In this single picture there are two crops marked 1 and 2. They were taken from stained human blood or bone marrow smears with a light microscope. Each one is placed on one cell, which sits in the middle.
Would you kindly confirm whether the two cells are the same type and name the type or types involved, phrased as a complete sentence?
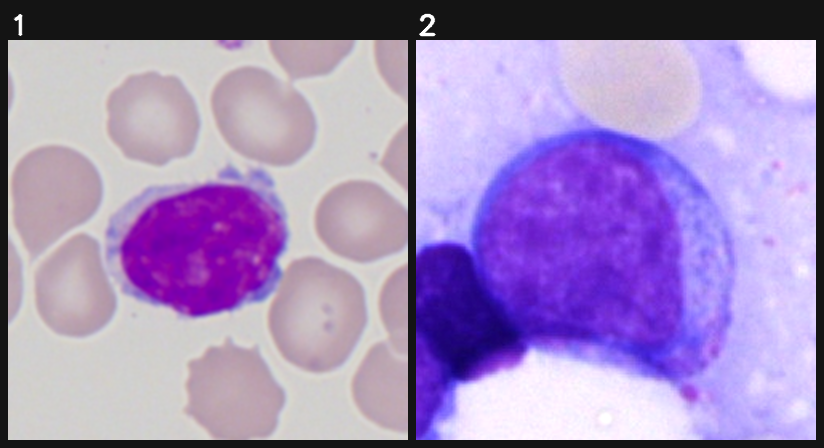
No, crop 1 features a lymphocyte, while crop 2 features a blast.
